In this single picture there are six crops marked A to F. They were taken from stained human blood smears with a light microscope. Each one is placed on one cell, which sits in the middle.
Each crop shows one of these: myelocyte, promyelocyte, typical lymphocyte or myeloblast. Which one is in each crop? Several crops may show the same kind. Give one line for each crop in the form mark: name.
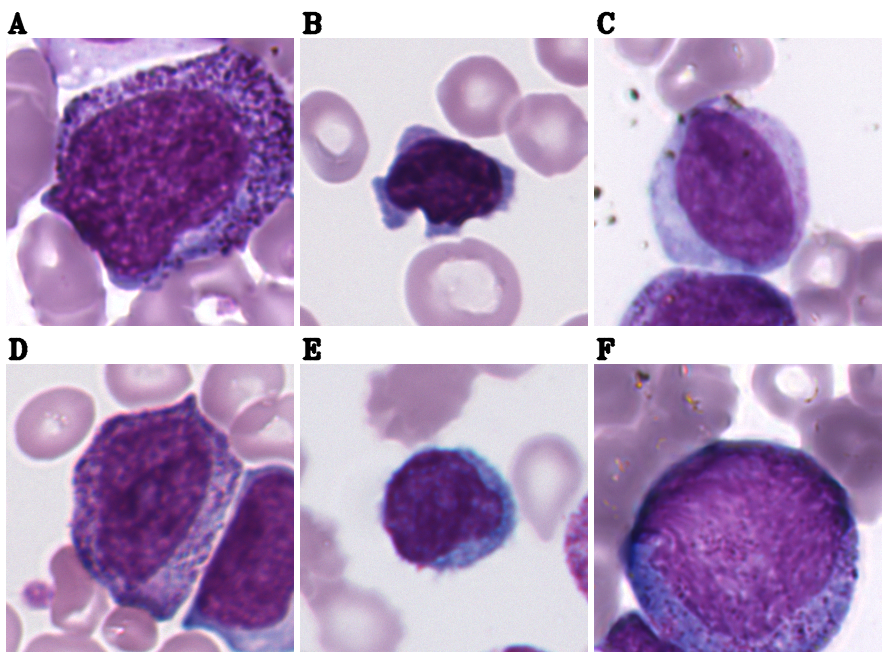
A: promyelocyte
B: typical lymphocyte
C: myelocyte
D: myelocyte
E: typical lymphocyte
F: promyelocyte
